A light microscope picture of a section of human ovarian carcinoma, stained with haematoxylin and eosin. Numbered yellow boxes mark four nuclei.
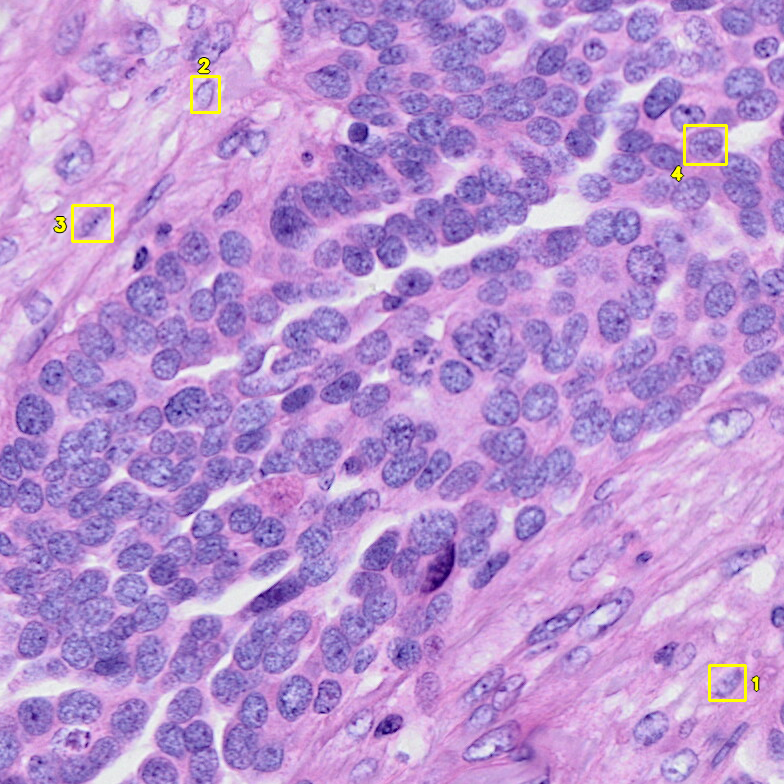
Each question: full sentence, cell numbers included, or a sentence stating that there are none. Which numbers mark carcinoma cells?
Cell 4 is a carcinoma cell and is the only numbered cell of that kind.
